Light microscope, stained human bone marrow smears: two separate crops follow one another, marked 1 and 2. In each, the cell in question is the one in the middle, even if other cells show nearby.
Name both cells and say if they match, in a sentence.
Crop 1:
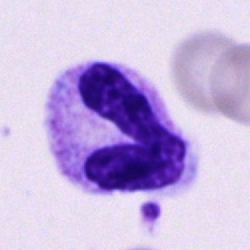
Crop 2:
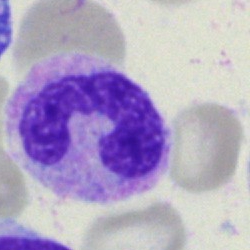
Yes, both crops show a cell each, and these are band neutrophils.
